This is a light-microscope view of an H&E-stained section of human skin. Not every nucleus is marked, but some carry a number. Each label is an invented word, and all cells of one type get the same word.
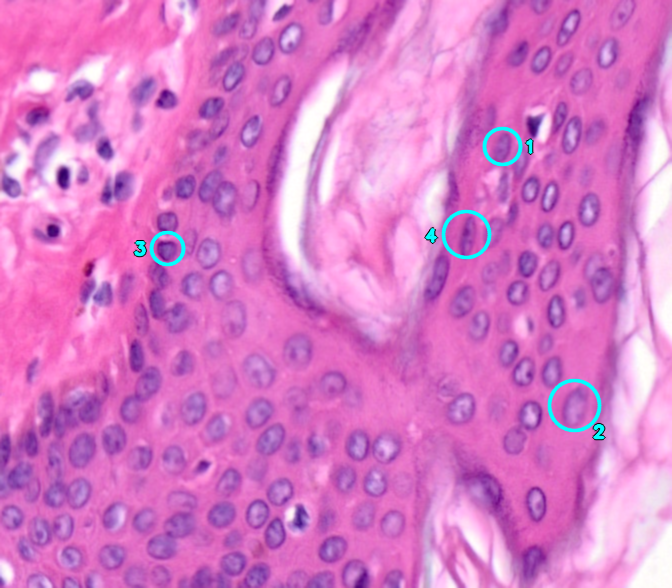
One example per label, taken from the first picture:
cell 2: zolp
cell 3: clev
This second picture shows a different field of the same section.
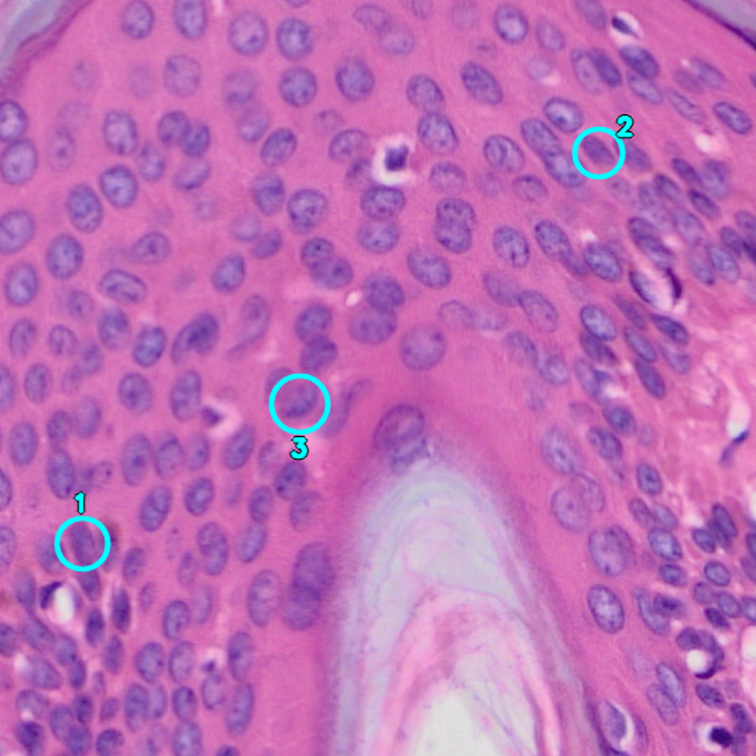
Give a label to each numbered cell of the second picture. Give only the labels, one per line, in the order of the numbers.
clev
clev
zolp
